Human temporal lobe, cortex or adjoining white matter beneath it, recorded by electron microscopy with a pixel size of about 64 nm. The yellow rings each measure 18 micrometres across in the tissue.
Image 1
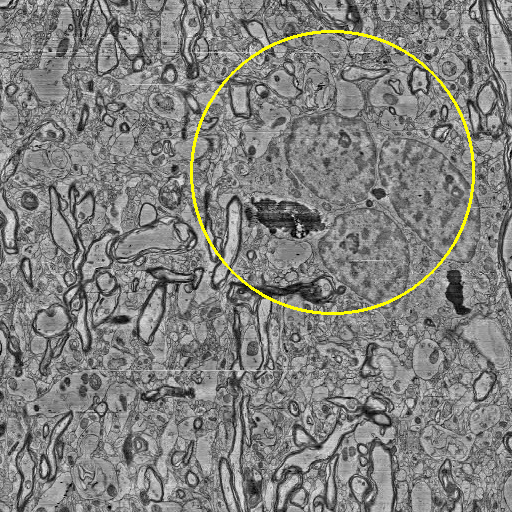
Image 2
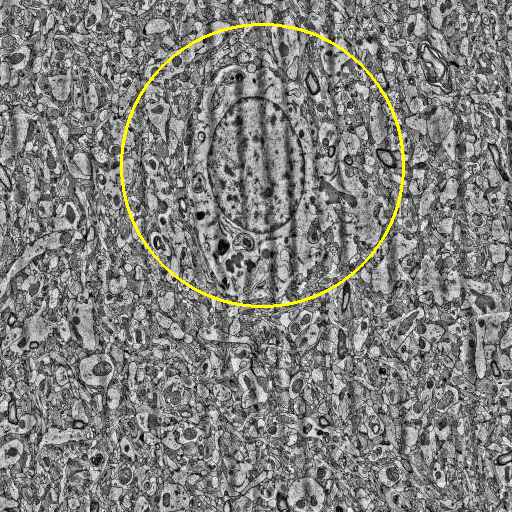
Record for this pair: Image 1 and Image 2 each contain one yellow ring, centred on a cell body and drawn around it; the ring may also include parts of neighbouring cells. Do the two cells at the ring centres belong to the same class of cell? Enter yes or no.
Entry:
no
